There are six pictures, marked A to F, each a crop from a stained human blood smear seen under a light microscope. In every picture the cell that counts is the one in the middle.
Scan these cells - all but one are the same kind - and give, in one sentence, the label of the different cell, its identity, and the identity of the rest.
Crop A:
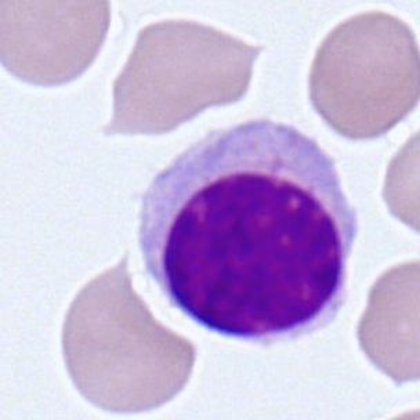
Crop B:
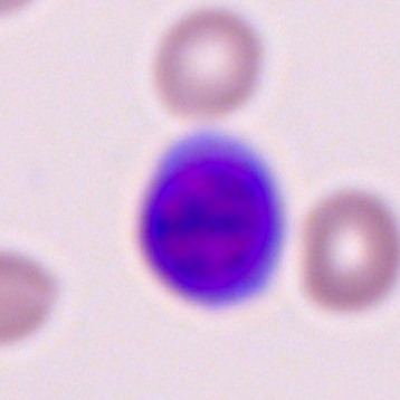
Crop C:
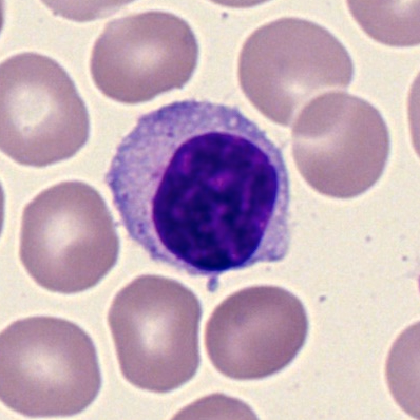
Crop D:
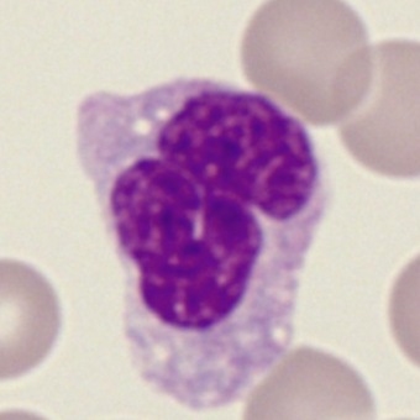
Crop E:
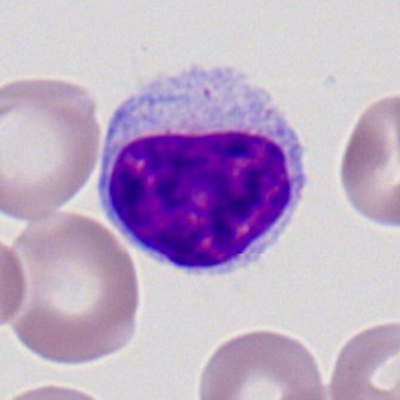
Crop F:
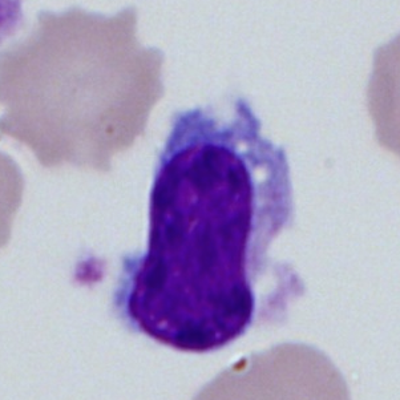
The rest of the crops show lymphocytes; crop D is the one showing a monocyte.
